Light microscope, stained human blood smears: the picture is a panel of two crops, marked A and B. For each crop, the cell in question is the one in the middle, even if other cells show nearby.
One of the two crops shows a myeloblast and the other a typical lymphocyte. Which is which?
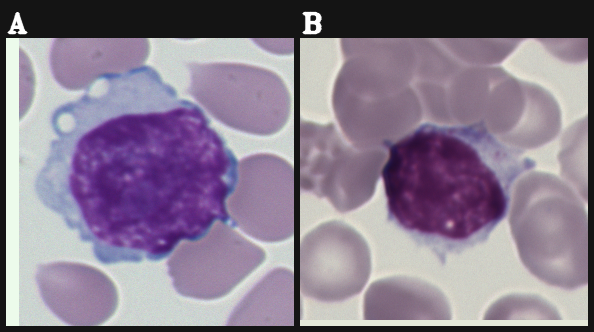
A: myeloblast
B: typical lymphocyte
